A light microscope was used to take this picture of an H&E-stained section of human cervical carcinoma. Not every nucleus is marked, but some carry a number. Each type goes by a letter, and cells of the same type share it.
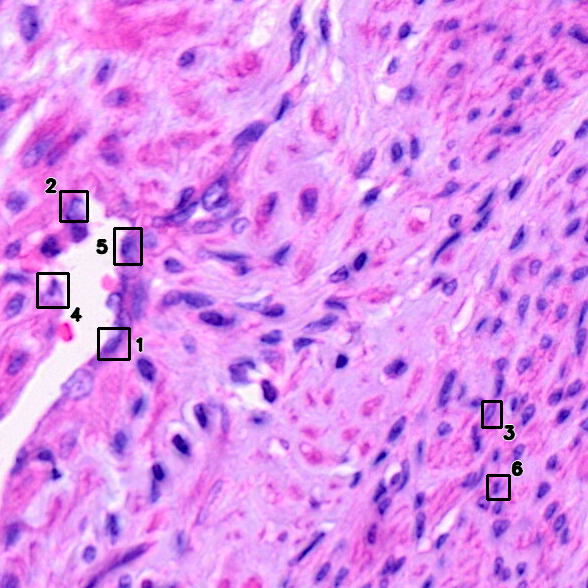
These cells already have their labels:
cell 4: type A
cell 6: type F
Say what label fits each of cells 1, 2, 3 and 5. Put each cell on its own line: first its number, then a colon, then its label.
1: type A
2: type A
3: type F
5: type A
